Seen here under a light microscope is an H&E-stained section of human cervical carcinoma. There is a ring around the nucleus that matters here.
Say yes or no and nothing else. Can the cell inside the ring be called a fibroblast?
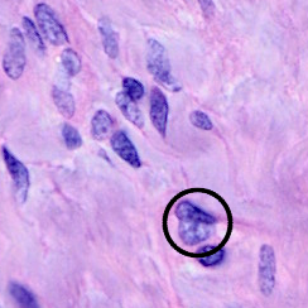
no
